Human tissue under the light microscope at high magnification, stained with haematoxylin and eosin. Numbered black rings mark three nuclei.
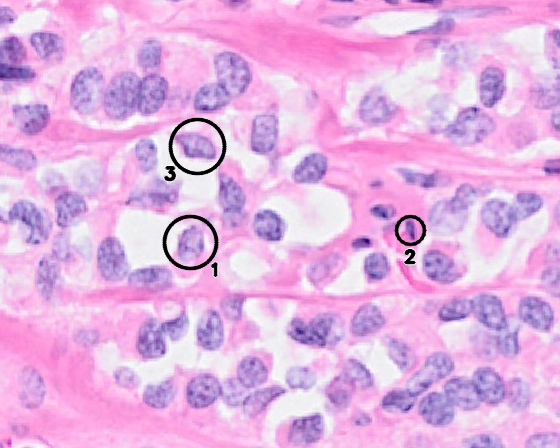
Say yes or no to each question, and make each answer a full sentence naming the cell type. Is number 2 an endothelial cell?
Yes, the cell given number 2 is an endothelial cell.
